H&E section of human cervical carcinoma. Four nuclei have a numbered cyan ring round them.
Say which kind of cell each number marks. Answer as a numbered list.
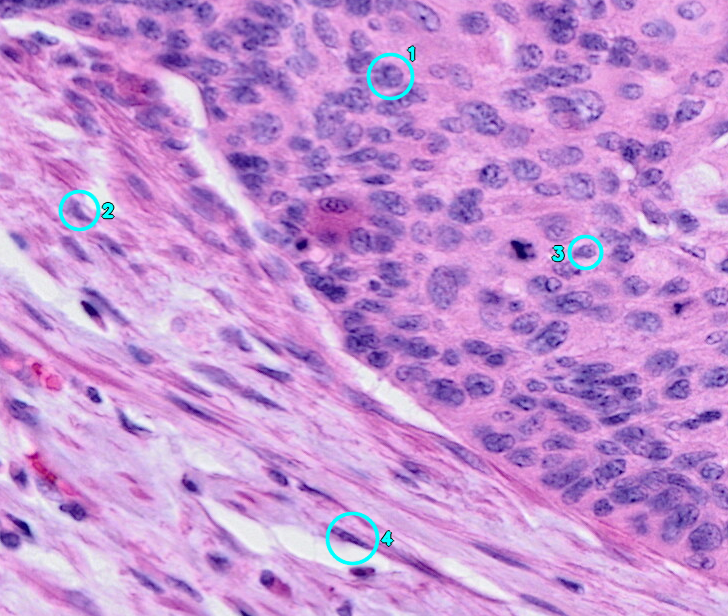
1. squamous carcinoma cell
2. fibroblast
3. squamous carcinoma cell
4. fibroblast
